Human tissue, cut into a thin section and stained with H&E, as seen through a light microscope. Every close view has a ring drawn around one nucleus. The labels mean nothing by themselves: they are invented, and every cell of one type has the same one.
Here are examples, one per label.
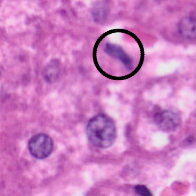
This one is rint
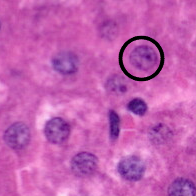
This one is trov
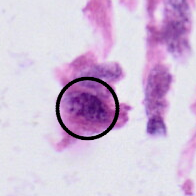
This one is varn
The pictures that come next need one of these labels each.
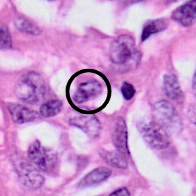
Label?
varn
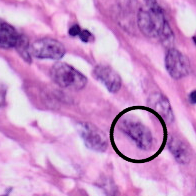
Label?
varn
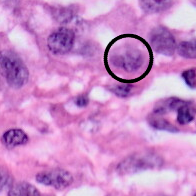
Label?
varn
